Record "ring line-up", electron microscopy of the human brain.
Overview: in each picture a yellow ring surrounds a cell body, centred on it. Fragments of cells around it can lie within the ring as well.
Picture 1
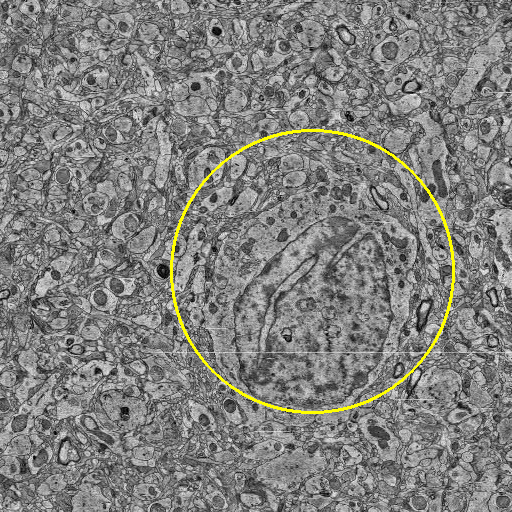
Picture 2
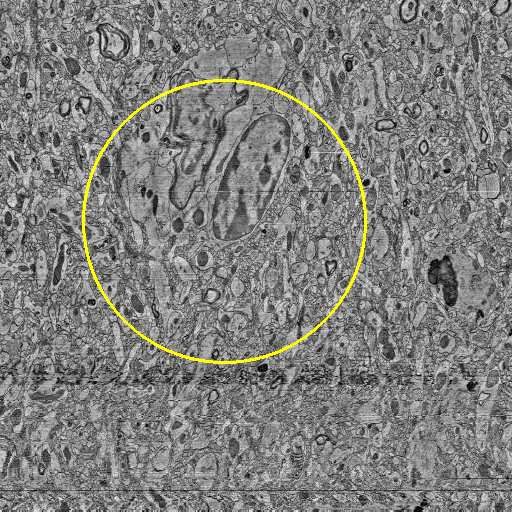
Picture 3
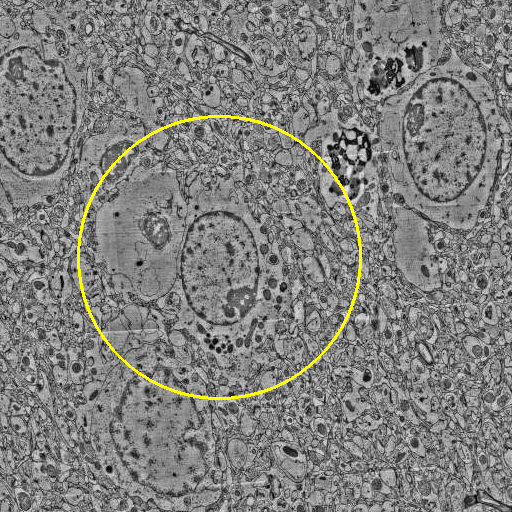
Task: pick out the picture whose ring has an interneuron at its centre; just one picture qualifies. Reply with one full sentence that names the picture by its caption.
Going by the cell at the ring's centre, the right choice is Picture 1.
